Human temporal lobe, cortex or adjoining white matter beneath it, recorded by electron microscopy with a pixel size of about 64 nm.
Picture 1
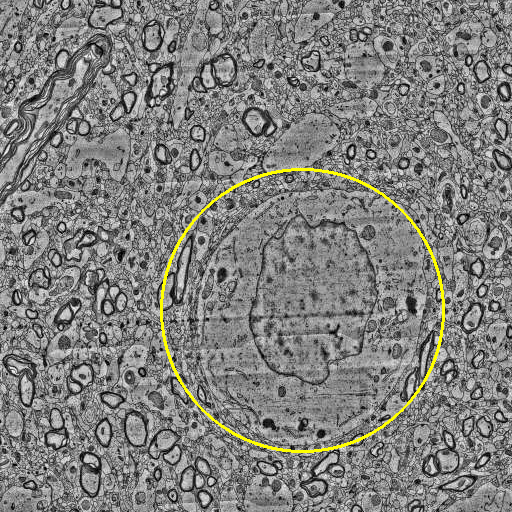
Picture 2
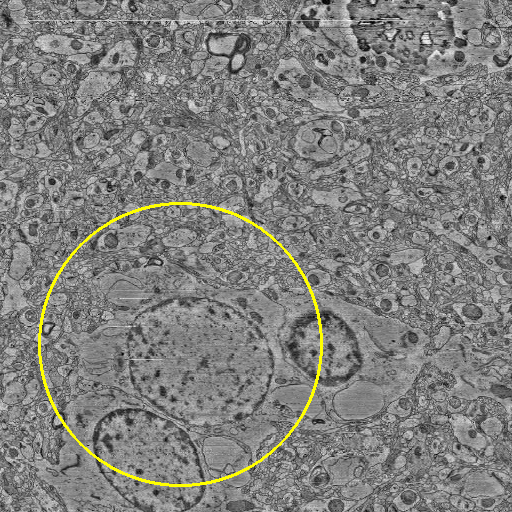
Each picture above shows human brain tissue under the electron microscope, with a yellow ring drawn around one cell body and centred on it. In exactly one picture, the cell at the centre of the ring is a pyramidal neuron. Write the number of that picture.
1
